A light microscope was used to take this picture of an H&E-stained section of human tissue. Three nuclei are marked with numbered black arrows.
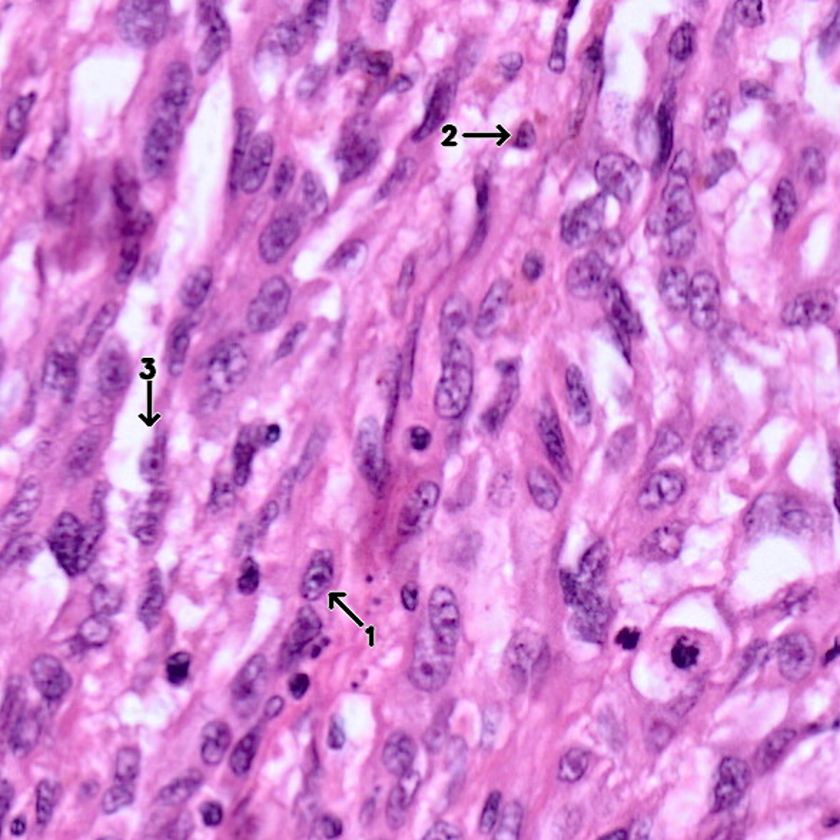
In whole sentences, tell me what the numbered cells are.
Cell 1 is a melanoma cell, cell 2 is a macrophage or monocyte and cell 3 is a melanoma cell.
